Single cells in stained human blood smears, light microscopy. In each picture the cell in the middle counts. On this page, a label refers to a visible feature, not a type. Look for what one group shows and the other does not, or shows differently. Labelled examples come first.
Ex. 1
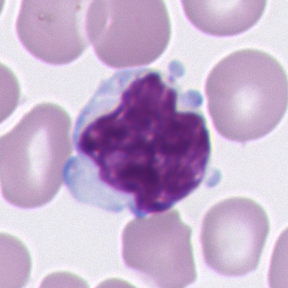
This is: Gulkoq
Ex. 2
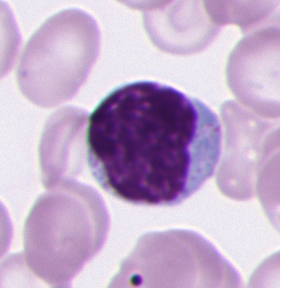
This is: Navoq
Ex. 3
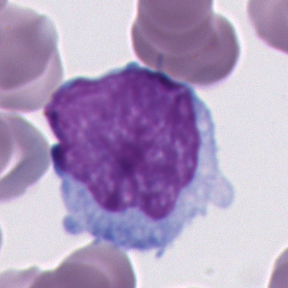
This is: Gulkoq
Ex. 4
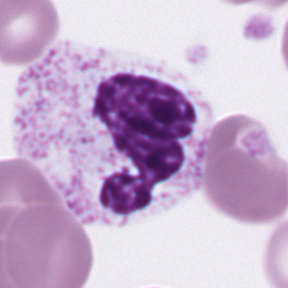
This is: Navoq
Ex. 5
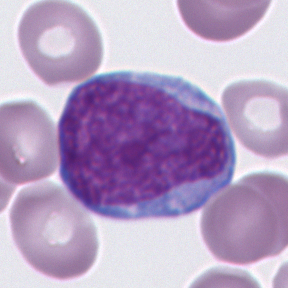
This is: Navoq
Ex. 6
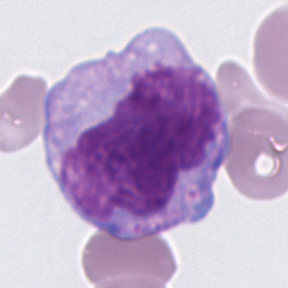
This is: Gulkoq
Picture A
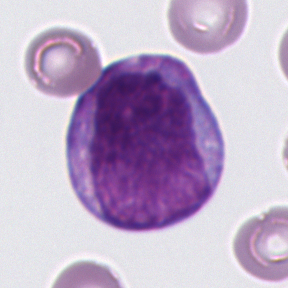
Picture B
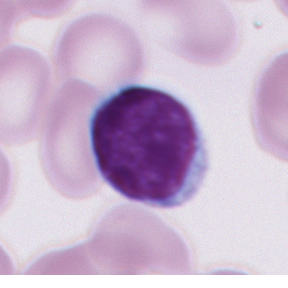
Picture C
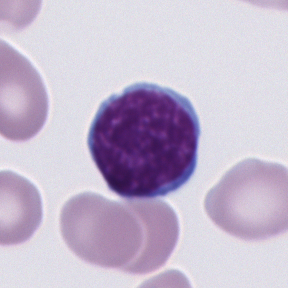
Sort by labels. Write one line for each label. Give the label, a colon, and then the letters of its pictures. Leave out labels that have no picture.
Navoq: A, B, C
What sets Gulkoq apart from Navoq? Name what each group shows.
Seen in Gulkoq: ragged outline or projections; seen in Navoq: smooth outline.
